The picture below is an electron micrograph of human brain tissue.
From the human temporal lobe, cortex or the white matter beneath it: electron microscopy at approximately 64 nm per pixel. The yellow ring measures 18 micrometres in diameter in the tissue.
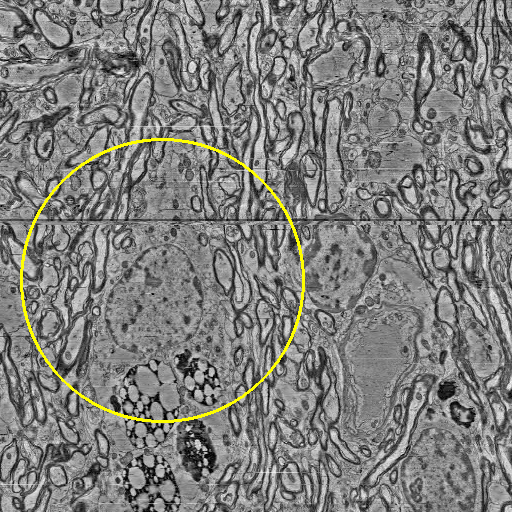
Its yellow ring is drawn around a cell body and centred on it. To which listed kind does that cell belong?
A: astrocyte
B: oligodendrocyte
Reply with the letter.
A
